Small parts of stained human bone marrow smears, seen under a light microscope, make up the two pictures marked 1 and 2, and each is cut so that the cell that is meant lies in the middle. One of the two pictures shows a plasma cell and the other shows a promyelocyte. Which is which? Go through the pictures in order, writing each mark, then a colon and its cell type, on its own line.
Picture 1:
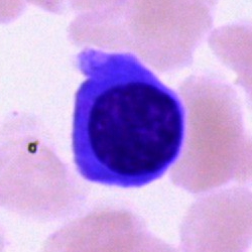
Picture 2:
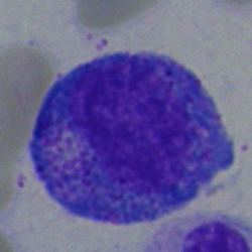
1: plasma cell
2: promyelocyte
